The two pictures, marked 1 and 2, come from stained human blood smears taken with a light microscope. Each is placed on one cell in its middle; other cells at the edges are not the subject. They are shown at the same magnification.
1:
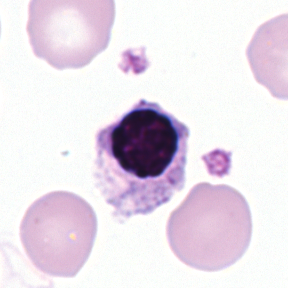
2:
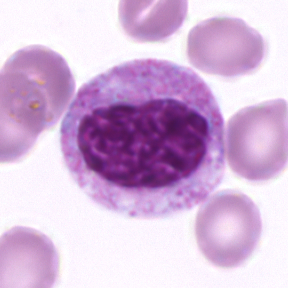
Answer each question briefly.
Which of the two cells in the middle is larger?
2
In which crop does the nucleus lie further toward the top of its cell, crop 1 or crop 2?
1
